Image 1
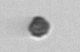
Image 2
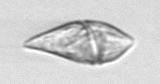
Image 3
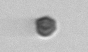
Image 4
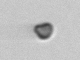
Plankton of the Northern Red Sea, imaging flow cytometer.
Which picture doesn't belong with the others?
Picture 2.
